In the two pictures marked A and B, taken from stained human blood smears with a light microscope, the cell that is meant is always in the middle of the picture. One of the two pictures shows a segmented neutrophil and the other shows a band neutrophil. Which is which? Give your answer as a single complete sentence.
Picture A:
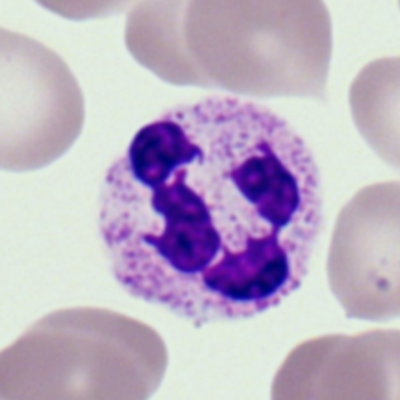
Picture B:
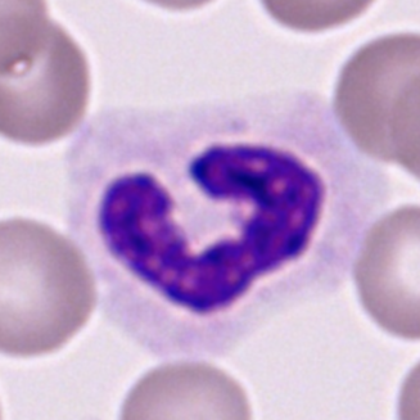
Picture A is of a segmented neutrophil, and picture B is of a band neutrophil.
